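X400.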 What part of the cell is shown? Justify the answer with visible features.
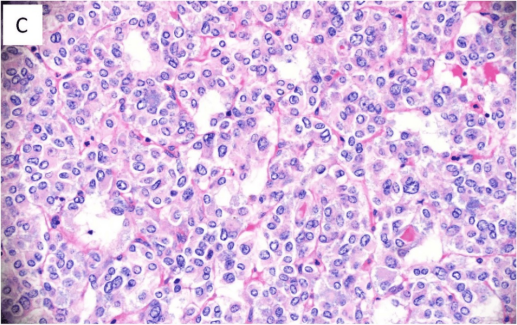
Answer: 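Cells have a broad rim of pale purple-pink cytoplasm around the nucleus. The cytoplasm looks finely granular. That points to this answer: abundant amphophilic granular cytoplasm.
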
